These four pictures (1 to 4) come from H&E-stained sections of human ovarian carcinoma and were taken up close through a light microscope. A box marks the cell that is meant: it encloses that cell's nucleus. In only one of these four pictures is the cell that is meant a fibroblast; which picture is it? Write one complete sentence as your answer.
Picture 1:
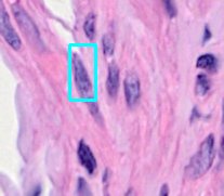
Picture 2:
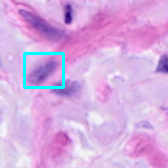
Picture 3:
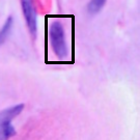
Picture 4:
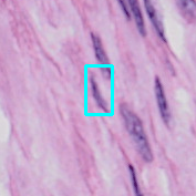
It is picture 4 that shows the fibroblast.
